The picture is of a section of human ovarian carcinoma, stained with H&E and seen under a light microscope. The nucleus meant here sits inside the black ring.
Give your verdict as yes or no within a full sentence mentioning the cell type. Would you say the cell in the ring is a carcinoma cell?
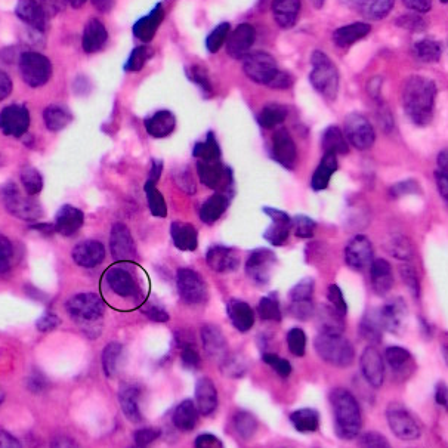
Yes, a carcinoma cell is what the cell in the ring represents in this tissue.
